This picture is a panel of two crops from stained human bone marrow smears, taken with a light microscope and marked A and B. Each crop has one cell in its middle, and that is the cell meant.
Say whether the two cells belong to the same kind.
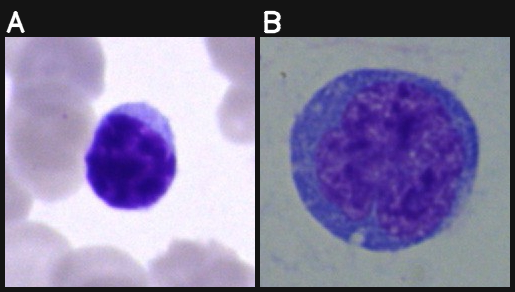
no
